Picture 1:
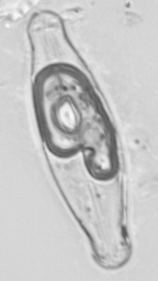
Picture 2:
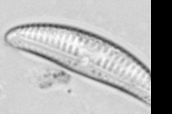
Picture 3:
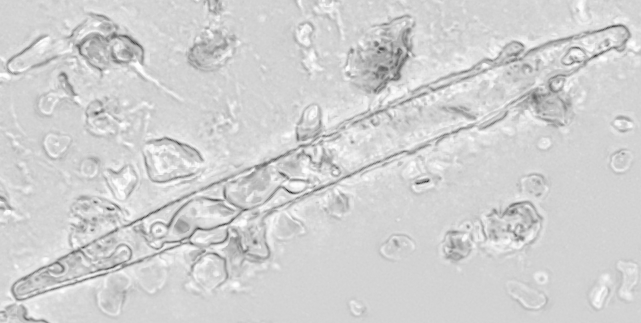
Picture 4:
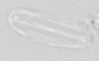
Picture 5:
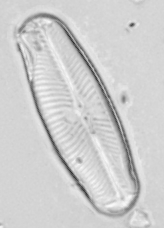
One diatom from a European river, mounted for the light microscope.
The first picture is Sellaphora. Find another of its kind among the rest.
Picture 5.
